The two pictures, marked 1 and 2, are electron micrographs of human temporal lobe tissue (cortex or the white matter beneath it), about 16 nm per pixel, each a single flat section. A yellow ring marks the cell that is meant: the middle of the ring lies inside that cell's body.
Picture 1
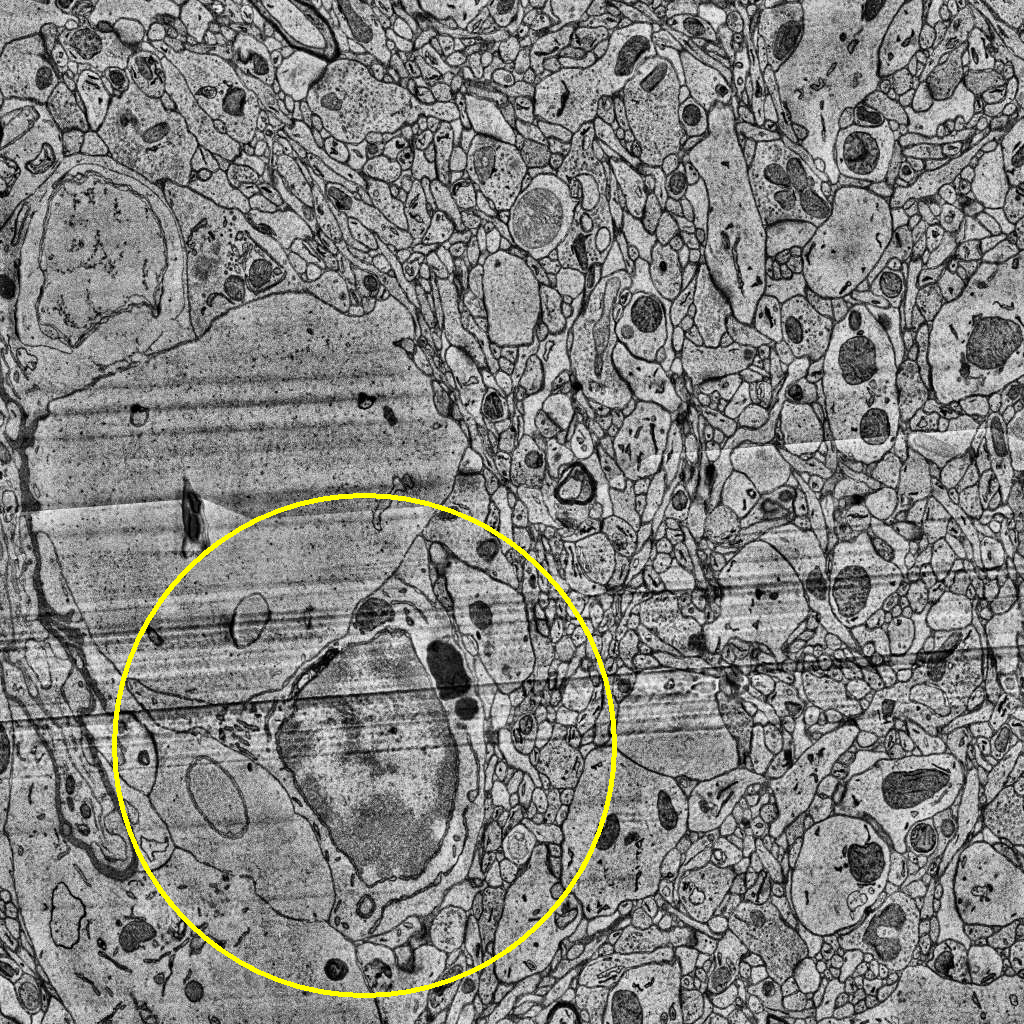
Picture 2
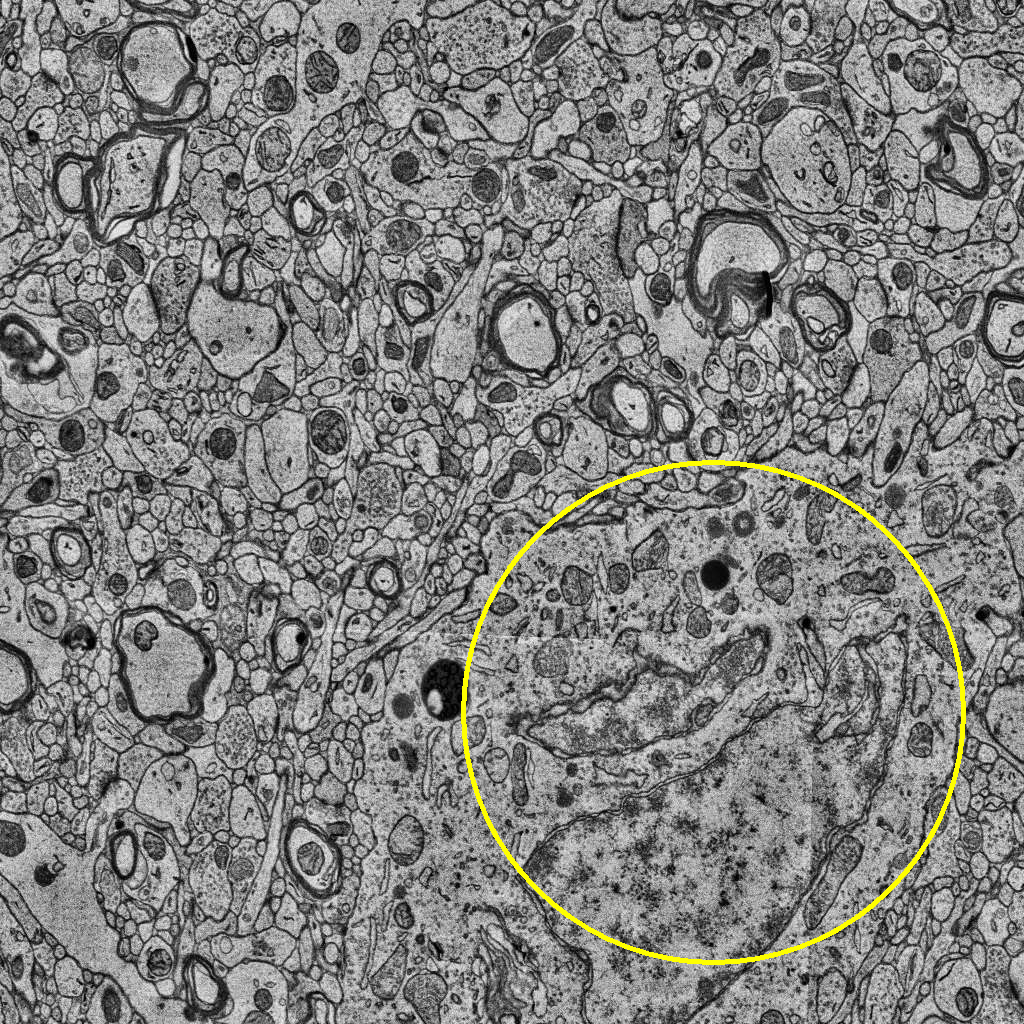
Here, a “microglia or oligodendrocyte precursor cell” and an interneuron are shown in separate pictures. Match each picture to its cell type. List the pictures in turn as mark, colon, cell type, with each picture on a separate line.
1: microglia or oligodendrocyte precursor cell
2: interneuron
